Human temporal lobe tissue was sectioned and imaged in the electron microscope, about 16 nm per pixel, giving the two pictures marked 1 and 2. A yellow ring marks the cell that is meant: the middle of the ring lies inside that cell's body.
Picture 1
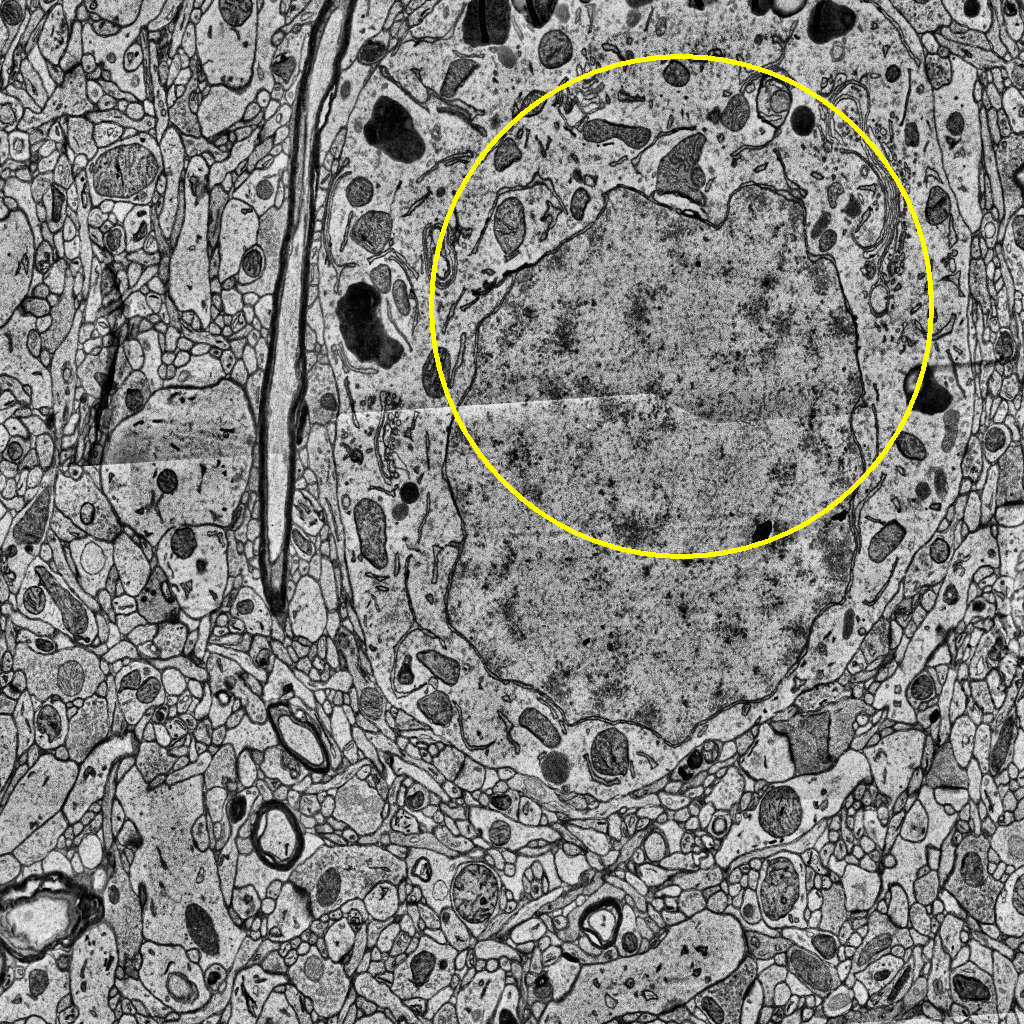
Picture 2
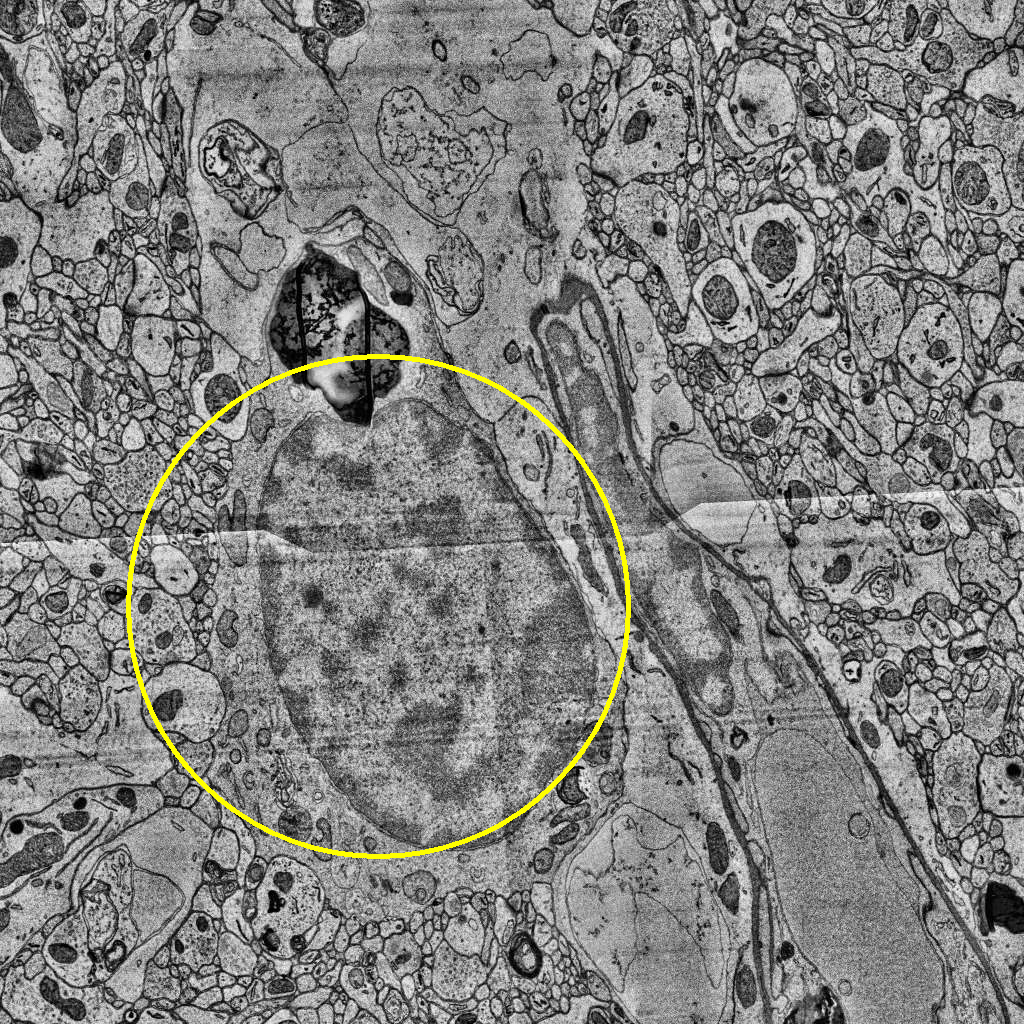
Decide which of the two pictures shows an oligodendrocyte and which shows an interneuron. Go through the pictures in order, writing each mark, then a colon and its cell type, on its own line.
1: interneuron
2: oligodendrocyte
